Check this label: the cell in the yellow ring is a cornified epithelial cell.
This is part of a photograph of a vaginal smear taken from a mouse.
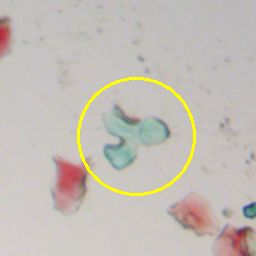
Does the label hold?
The label holds; the cell is a cornified epithelial cell.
